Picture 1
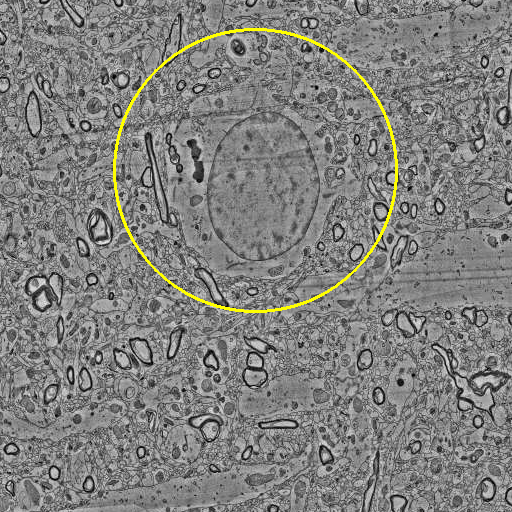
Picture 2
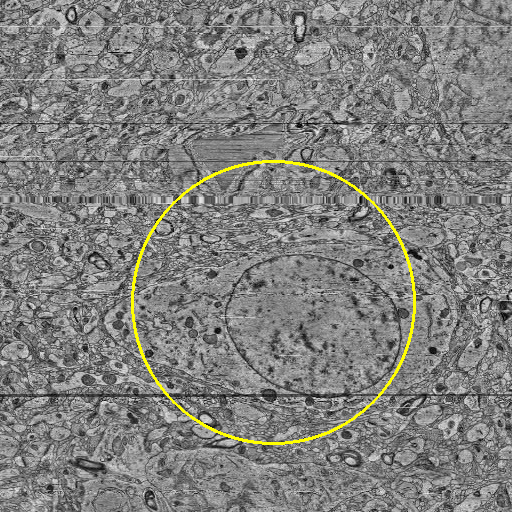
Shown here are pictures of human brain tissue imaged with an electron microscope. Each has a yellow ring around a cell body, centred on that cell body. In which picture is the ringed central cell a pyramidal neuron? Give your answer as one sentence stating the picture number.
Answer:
My answer is picture 2, where the ringed cell at the centre is the one sought.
